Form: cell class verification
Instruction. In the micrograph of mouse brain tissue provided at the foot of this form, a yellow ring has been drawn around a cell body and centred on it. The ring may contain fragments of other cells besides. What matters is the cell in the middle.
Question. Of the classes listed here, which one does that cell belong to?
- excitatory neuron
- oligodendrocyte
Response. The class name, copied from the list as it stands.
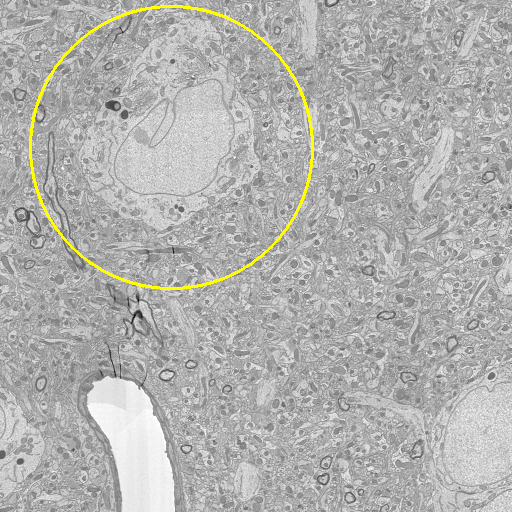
excitatory neuron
